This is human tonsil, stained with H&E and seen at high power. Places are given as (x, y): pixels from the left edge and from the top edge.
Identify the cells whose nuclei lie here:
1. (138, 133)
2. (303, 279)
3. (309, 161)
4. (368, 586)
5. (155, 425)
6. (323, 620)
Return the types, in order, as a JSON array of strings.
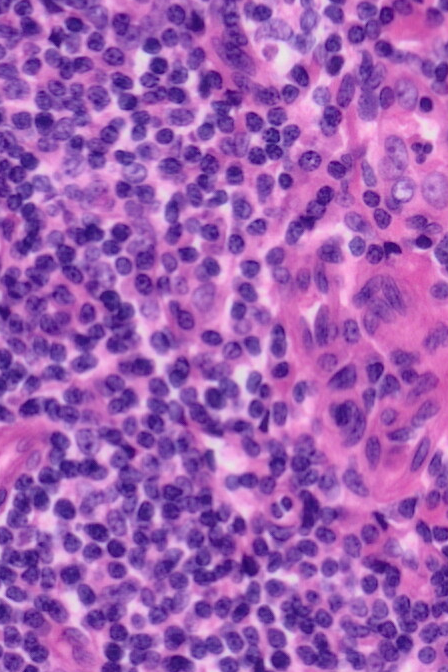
["small lymphocyte", "endothelial cell", "plasma cell", "small lymphocyte", "small lymphocyte", "small lymphocyte"]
